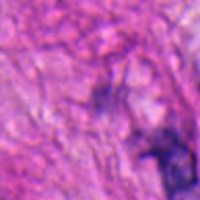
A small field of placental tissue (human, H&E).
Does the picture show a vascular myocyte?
Yes.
